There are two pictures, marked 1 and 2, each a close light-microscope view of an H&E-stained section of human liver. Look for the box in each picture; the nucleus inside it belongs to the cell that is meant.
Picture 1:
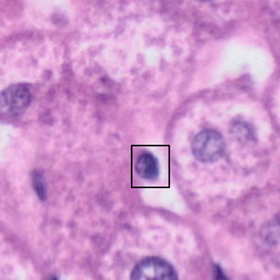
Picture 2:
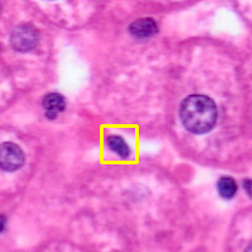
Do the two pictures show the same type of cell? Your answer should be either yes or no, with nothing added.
yes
